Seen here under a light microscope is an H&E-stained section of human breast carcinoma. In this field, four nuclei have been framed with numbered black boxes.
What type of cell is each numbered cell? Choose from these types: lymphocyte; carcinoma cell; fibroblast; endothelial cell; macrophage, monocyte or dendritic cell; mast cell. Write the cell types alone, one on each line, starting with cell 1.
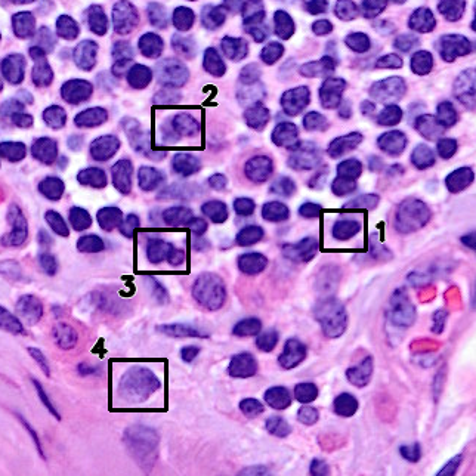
lymphocyte
lymphocyte
lymphocyte
fibroblast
